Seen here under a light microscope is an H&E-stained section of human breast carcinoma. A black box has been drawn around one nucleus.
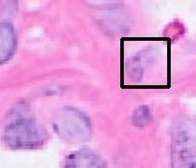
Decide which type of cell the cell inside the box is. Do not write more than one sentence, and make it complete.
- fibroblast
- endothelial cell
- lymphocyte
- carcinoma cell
What the cell inside the box represents is an endothelial cell.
